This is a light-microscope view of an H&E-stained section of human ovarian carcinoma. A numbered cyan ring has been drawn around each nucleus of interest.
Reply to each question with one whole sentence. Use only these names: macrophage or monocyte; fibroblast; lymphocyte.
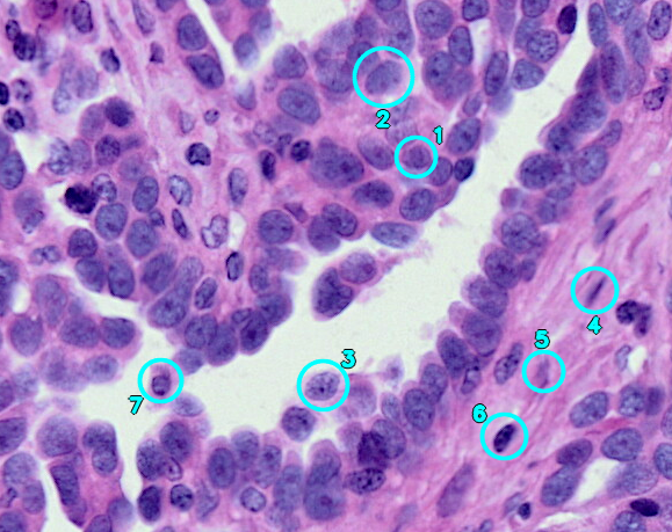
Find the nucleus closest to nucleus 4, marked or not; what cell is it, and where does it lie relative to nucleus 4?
Lying below and to the right of nucleus 4, the nearest nucleus is that of a lymphocyte.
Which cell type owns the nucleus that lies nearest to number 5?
The cell nearest to number 5 is a macrophage or monocyte.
